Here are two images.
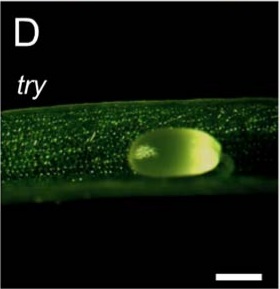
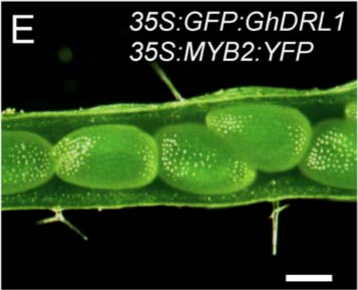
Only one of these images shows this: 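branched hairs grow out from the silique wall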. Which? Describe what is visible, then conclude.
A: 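The second image. Second image: several branched hairs stick out from the silique edges. First image: the silique surface is smooth with no hairs, only fine dots.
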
